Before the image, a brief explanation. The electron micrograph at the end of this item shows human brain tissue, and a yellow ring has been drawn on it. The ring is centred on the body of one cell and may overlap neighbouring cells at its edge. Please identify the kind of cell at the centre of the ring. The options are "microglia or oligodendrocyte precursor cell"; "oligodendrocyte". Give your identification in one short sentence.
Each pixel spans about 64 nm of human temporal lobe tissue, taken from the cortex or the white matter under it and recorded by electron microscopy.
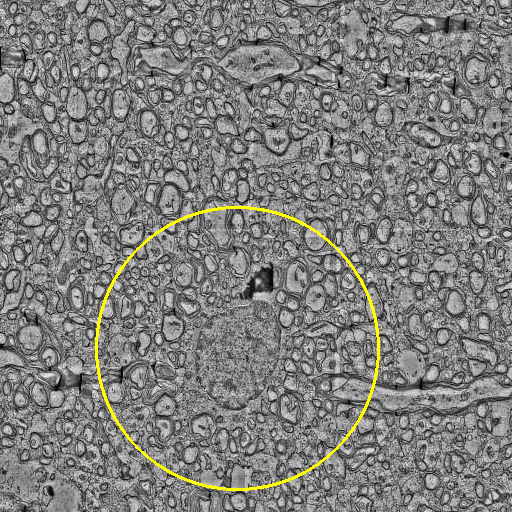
The ring has been placed around an oligodendrocyte.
